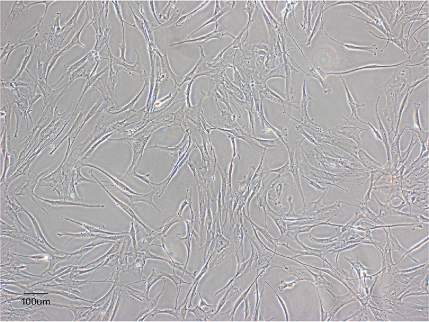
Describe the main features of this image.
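These are fibroblasts growing flat in a culture dish, seen unstained with phase contrast. Most cells are long and spindle-shaped, narrowing to fine tapering ends at both poles, and some have two or three slender processes that give them a branched outline. The cell edges appear bright with a halo against the grey background. The cells are loosely spread, with gaps of empty dish between them, and they point in many different directions rather than forming tight parallel streams.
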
